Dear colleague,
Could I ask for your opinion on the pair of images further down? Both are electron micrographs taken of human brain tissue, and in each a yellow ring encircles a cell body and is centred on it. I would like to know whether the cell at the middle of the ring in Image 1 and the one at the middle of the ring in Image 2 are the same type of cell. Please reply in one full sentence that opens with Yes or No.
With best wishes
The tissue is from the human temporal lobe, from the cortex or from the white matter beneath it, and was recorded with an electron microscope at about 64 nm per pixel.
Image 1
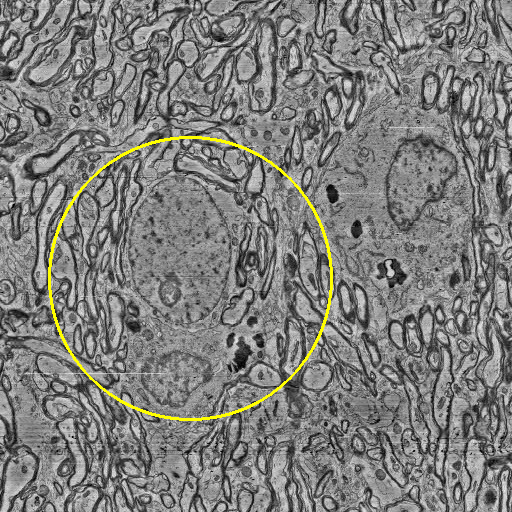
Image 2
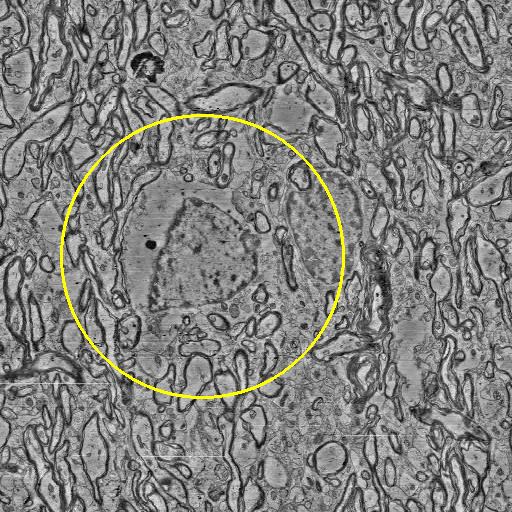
Yes, the cells at the ring centres in Image 1 and Image 2 are of one type.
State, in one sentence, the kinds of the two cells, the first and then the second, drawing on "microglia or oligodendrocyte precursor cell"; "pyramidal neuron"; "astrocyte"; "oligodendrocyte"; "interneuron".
The second cell is an astrocyte, just as the first is.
